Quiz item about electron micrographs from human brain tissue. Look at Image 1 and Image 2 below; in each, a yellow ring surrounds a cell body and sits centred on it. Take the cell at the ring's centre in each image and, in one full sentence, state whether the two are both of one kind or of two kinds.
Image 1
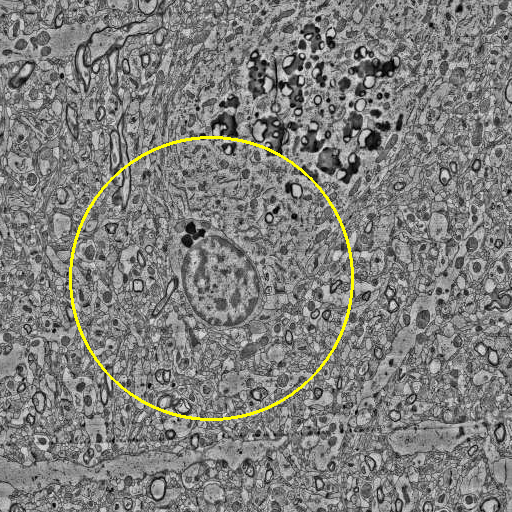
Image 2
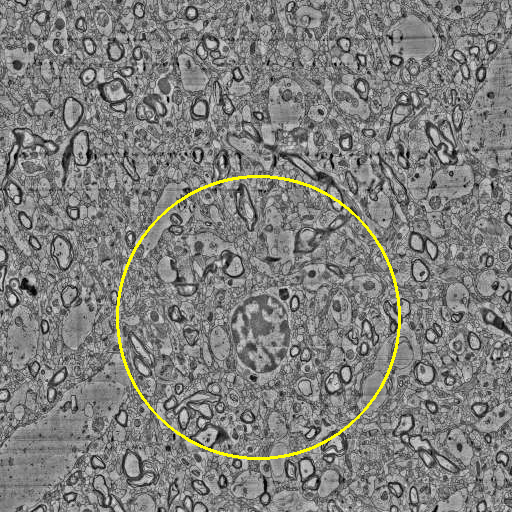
In Image 1 and Image 2, the cells at the ring centres are of two kinds.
